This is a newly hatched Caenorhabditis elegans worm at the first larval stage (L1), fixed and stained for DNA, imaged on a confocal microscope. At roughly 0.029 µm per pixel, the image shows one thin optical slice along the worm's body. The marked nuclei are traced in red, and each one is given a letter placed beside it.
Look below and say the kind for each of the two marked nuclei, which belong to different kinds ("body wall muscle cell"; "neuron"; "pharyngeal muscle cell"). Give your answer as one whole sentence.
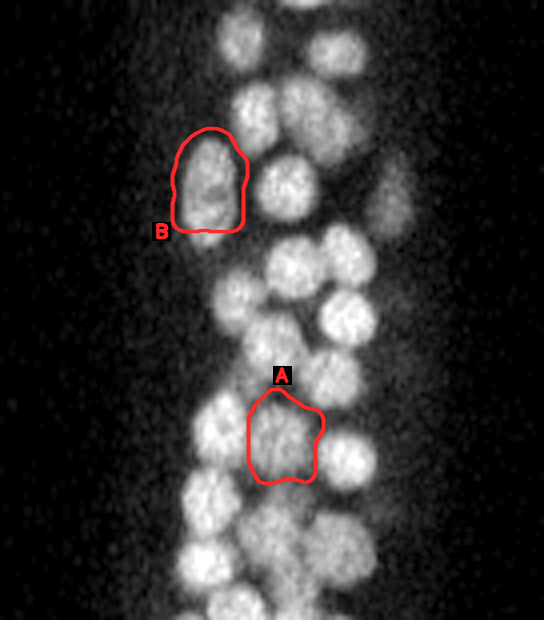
Nucleus A comes from a neuron and nucleus B from a body wall muscle cell.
